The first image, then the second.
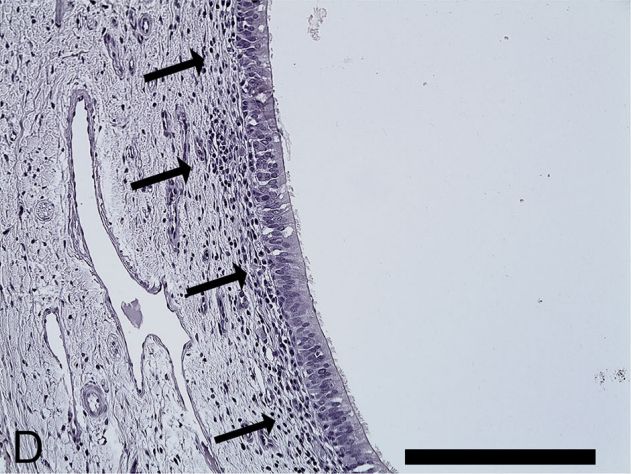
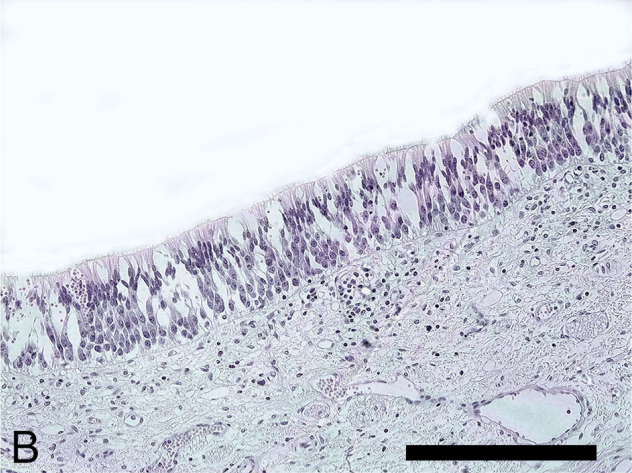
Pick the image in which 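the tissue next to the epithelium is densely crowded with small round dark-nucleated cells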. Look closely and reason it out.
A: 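First image: a dense band of small dark round nuclei lies in the connective tissue along the epithelium. Second image: the connective tissue under the epithelium holds loosely spaced cells and vessels without such a crowded band.
The first image.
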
